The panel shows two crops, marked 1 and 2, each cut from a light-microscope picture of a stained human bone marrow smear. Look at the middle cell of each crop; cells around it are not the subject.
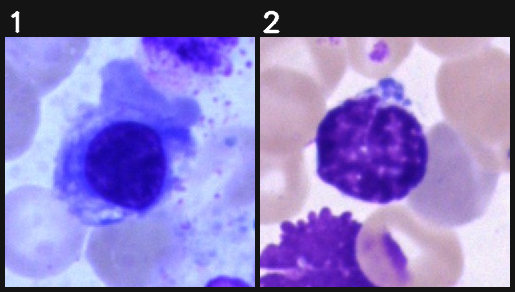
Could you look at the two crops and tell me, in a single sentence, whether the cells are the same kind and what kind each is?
No, an erythroblast is what occupies crop 1, and a lymphocyte is what occupies crop 2.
